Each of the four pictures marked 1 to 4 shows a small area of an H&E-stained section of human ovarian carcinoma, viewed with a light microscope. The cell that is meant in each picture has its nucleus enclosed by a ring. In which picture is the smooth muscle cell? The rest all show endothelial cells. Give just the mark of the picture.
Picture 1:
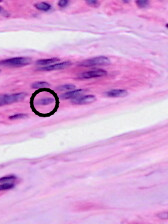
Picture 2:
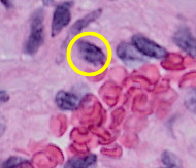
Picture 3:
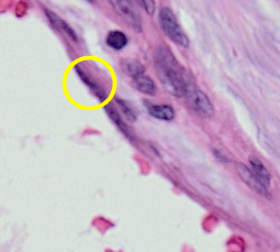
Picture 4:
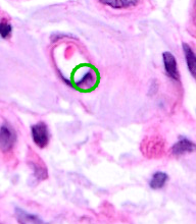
1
